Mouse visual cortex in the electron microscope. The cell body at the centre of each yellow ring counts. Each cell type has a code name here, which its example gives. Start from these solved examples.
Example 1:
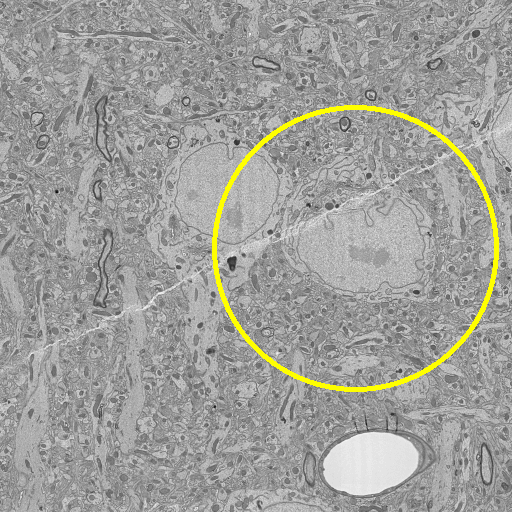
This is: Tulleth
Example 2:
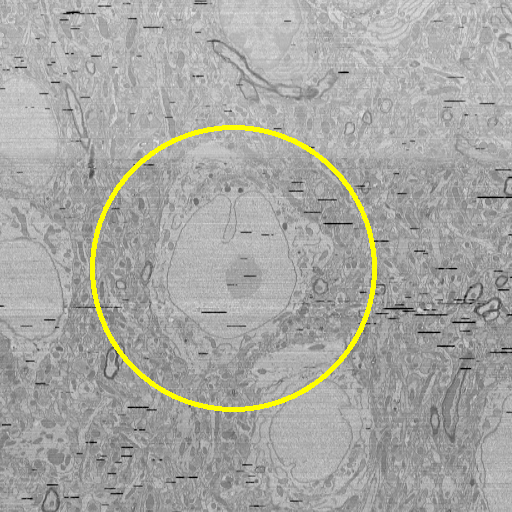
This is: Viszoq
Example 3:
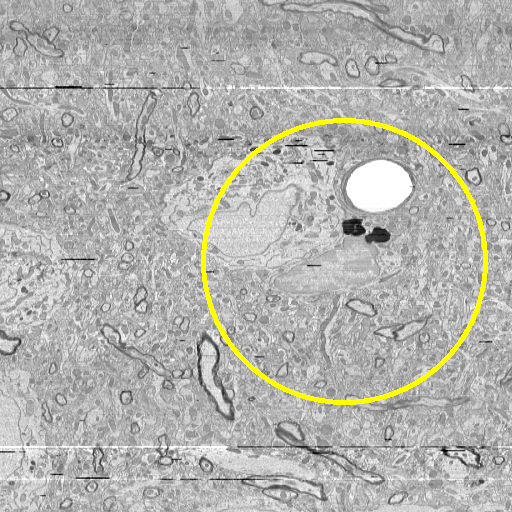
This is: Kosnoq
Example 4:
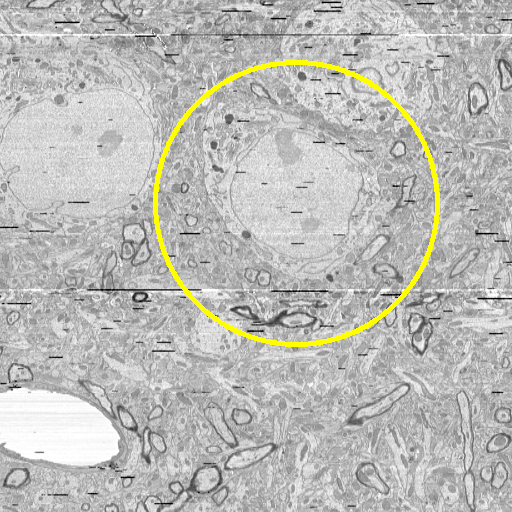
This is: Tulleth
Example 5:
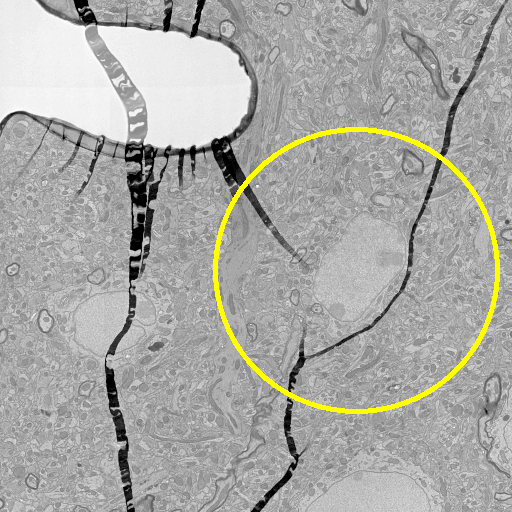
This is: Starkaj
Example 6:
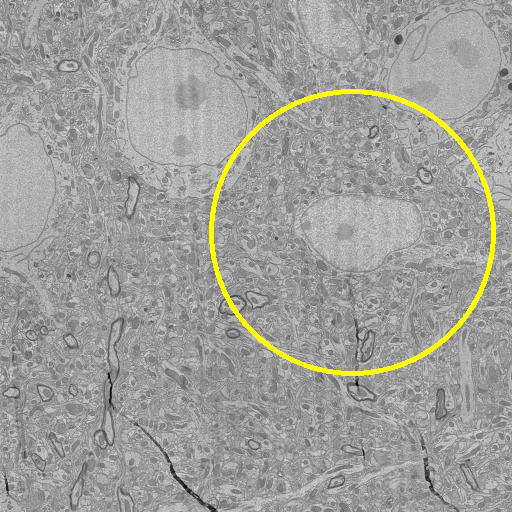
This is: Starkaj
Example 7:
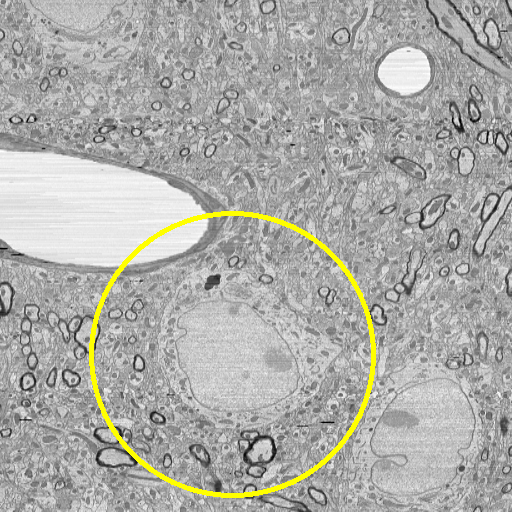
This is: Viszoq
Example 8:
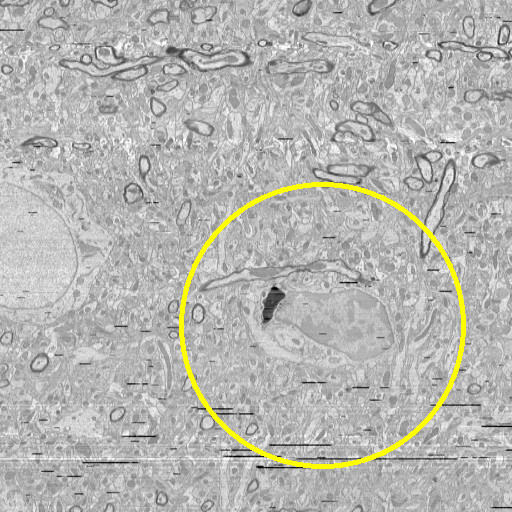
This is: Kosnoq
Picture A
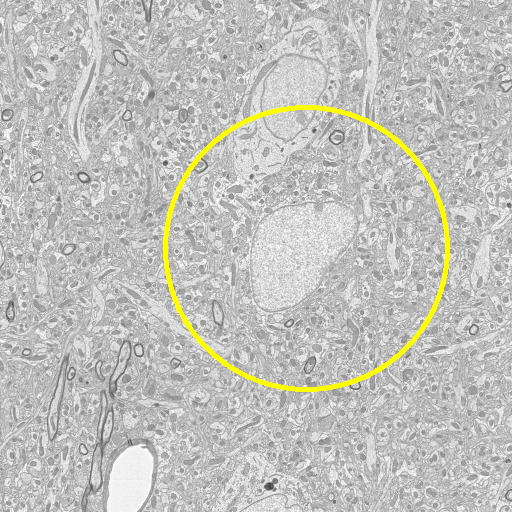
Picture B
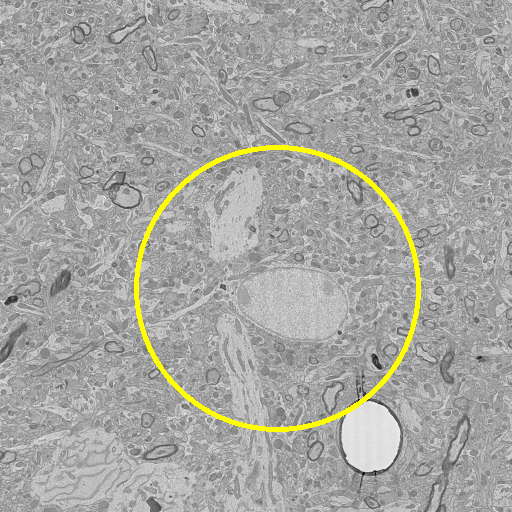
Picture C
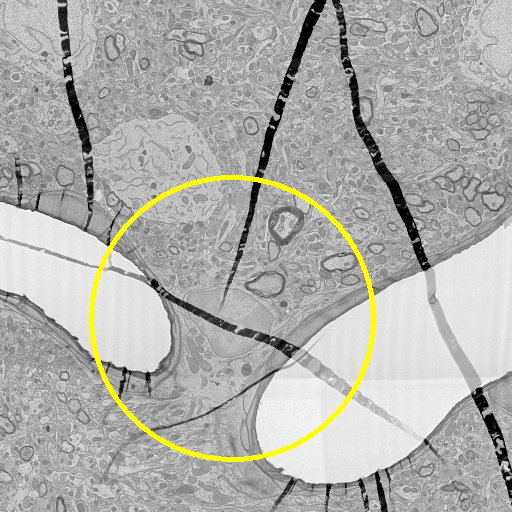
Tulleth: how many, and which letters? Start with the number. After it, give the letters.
0, none of them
